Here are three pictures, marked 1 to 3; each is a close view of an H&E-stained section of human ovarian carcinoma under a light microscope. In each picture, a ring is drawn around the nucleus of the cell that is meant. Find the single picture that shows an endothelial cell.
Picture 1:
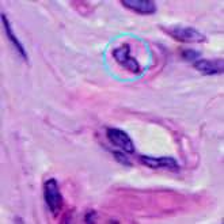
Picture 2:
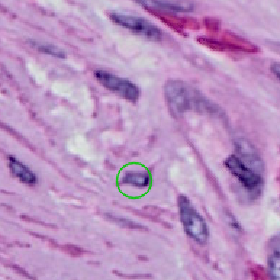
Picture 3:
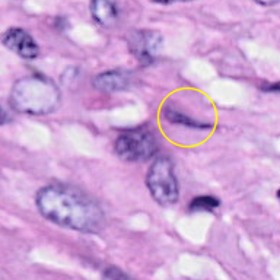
1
